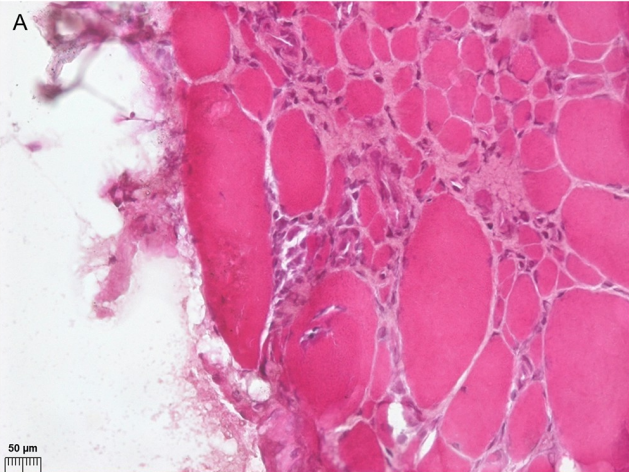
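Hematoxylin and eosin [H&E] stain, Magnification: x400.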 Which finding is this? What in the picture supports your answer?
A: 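Some pink fibers are large while many others are small and rounded. Small fibers cluster in the upper middle of the field.
Conclusion: muscle fiber size variation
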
